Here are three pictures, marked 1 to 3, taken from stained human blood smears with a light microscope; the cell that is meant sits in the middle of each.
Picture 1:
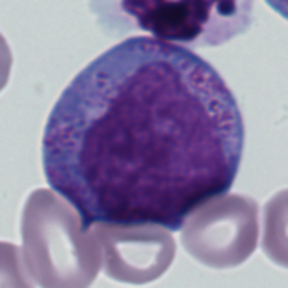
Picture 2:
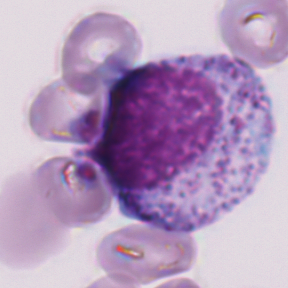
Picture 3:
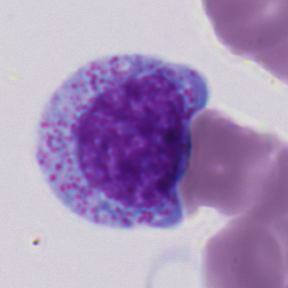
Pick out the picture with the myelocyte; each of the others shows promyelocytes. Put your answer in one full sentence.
The picture with the myelocyte is 2.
